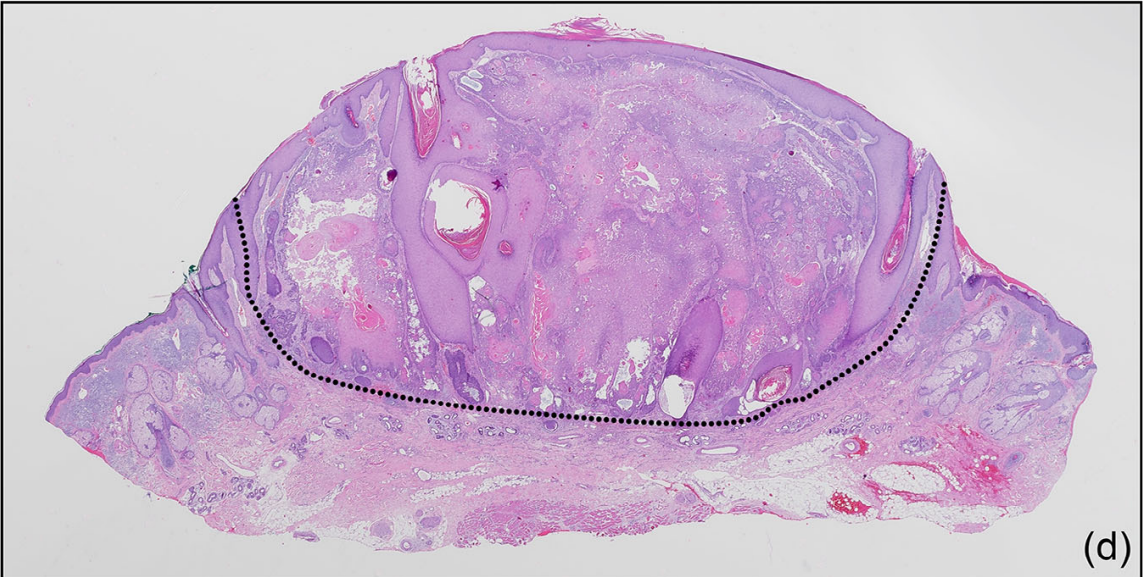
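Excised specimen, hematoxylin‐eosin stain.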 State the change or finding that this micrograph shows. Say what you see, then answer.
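The dome-shaped tumor mass lies in the centre of the specimen. Skin with ordinary epidermis and adnexal structures flanks the tumor on both sides. A band of paler dermal connective tissue lies beneath the tumor down to the lower cut edge. That points to this answer: completely resected.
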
